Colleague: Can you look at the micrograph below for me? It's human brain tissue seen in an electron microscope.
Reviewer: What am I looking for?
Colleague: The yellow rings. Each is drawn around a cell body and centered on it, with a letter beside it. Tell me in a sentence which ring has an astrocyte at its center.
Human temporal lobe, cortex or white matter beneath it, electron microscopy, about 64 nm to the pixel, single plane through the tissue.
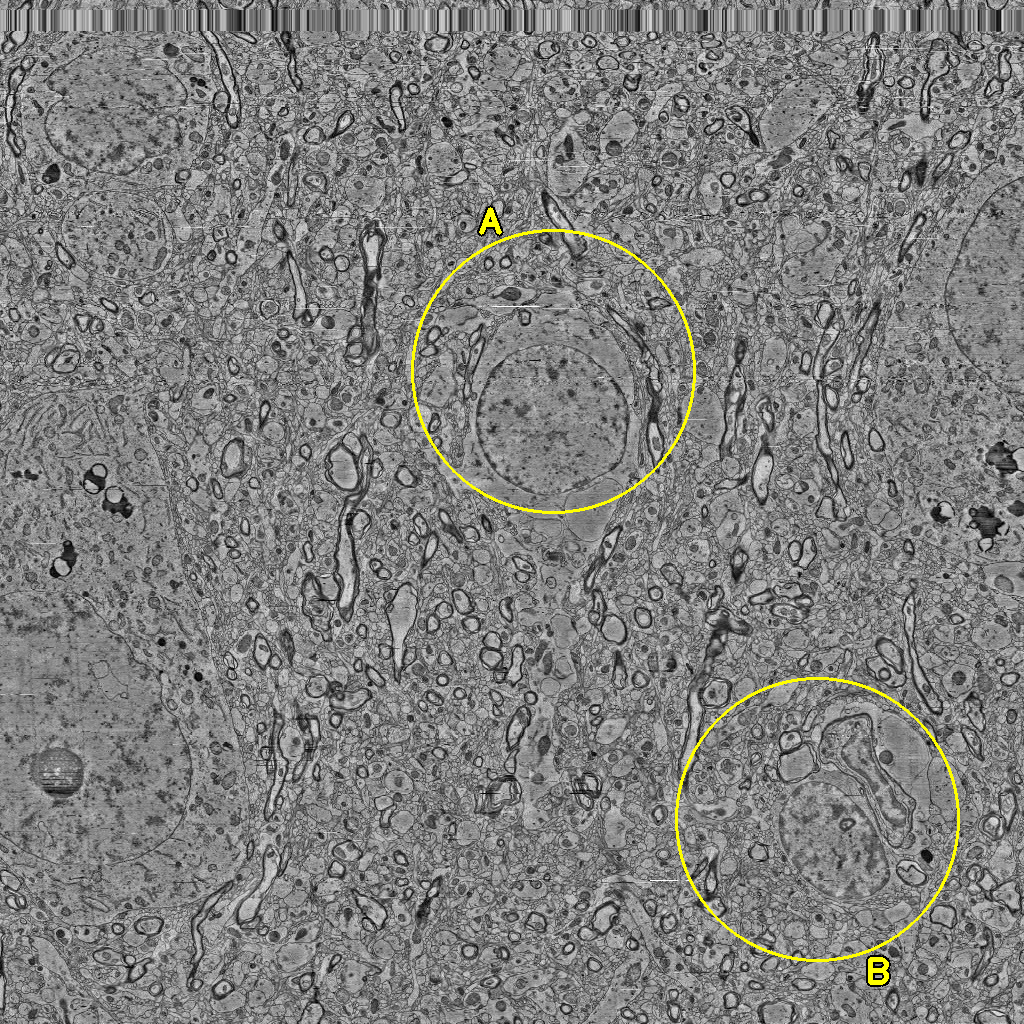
It's the cell in ring A.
